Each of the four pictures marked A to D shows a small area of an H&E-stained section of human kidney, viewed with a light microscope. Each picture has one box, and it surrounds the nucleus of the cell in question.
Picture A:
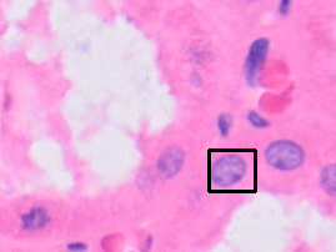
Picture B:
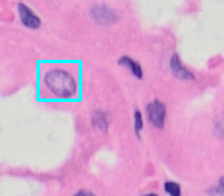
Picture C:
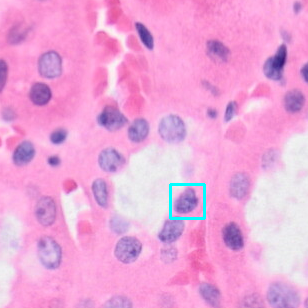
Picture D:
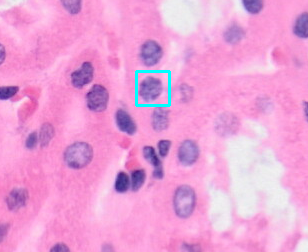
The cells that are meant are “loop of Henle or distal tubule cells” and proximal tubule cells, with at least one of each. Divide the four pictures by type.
A: proximal tubule cell
B: proximal tubule cell
C: loop of Henle or distal tubule cell
D: loop of Henle or distal tubule cell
